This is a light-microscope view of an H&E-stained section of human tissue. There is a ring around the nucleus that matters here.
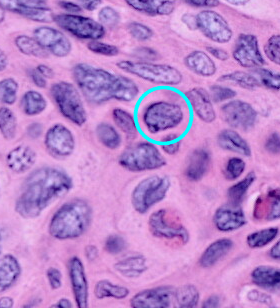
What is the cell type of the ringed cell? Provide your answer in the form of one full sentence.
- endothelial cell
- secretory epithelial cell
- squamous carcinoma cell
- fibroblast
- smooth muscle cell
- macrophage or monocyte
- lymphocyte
Within this tissue, the ringed cell is a squamous carcinoma cell.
